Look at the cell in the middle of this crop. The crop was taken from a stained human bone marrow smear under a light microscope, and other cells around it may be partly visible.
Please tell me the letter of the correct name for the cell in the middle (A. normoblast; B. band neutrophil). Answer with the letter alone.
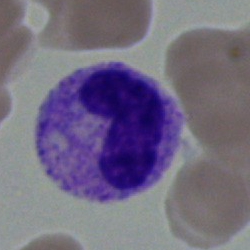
B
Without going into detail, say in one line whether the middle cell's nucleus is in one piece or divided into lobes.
What stands out is a nucleus forming one compact round, oval or kidney-shaped mass.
